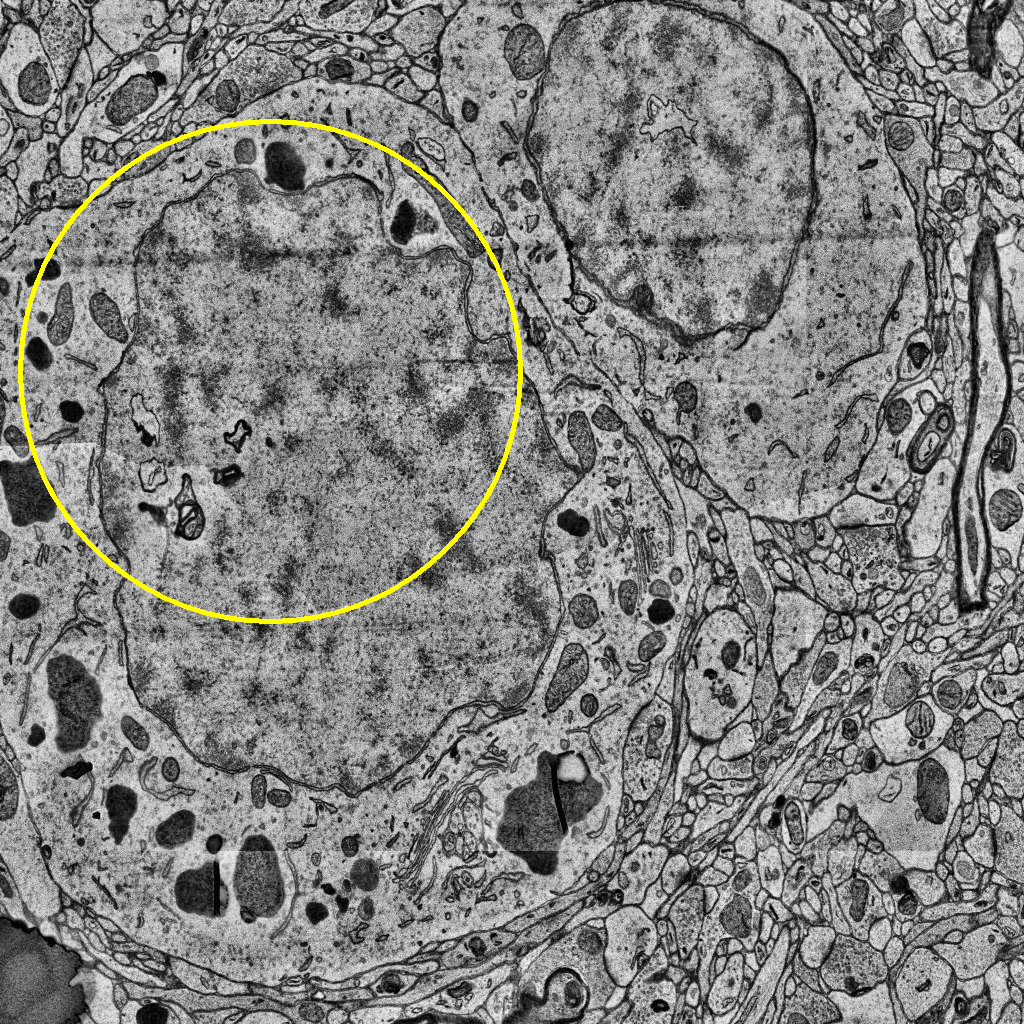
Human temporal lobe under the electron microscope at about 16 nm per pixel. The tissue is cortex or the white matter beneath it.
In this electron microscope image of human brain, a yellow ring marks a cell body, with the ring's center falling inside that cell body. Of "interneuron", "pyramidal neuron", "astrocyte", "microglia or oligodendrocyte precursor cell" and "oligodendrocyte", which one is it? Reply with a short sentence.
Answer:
It is an interneuron at the center of the ring.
